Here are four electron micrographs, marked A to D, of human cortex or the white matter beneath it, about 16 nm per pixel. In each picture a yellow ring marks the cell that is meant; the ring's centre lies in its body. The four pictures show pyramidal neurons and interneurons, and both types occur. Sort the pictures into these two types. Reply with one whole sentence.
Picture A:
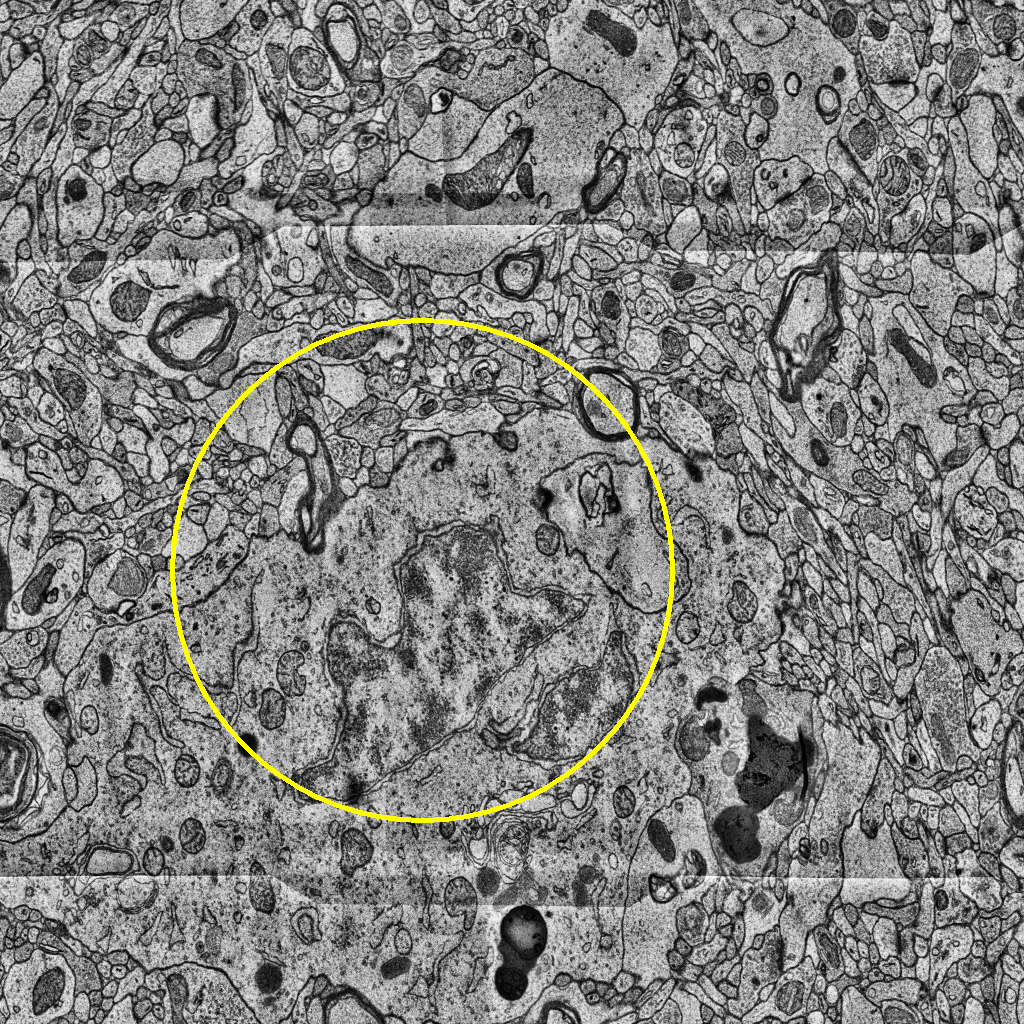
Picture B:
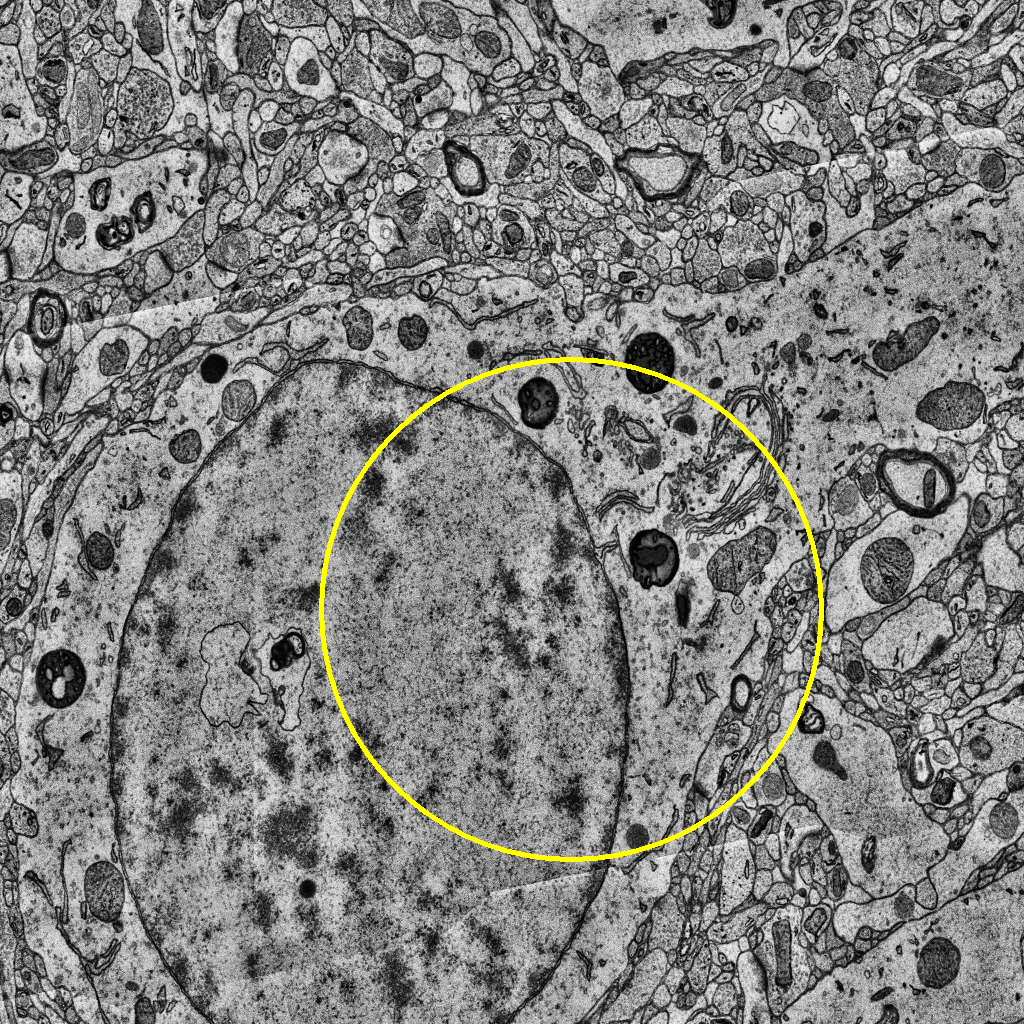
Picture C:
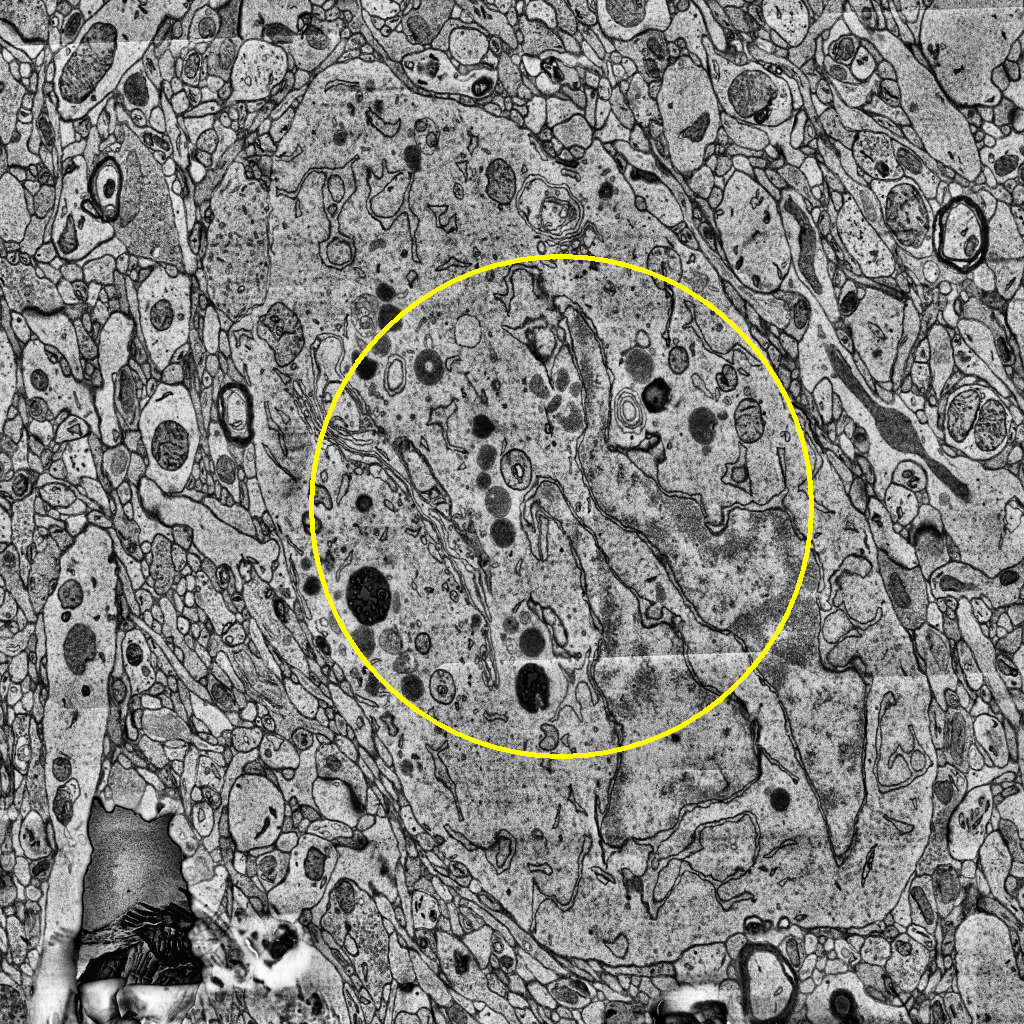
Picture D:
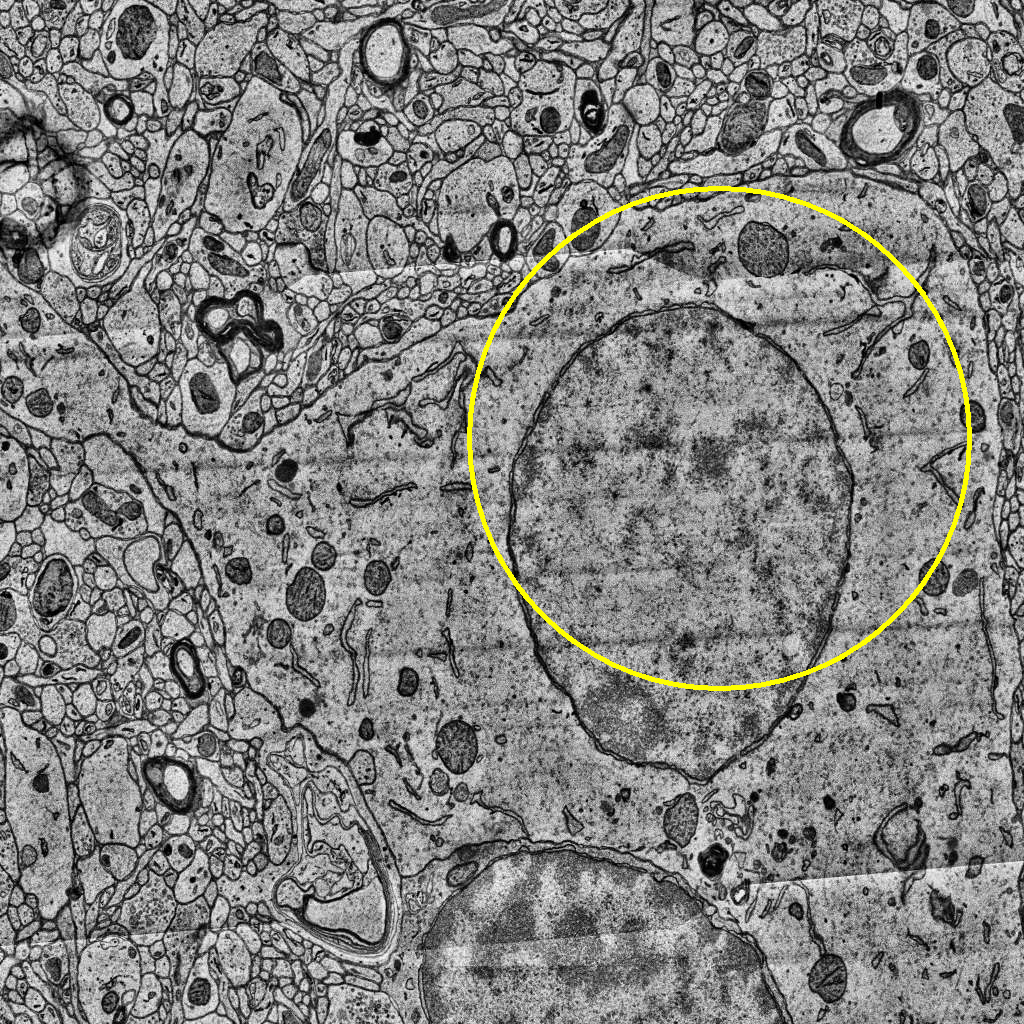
Pictures B and D show pyramidal neurons, while pictures A and C show interneurons.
